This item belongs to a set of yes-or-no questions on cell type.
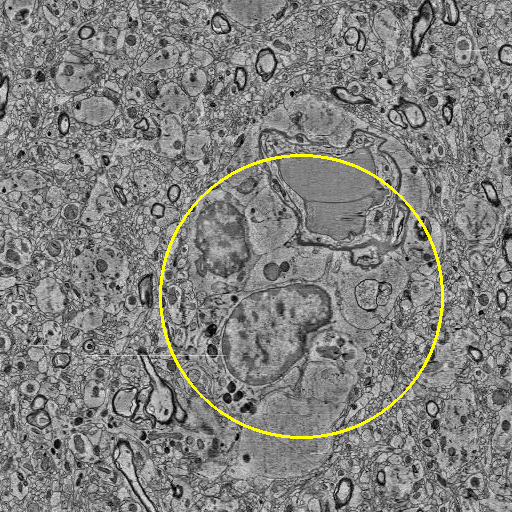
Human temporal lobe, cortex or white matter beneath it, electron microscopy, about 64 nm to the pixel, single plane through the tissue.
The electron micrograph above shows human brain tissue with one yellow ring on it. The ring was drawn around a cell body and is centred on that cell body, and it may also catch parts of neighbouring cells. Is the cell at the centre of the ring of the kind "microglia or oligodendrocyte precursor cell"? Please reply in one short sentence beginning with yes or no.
Yes, that cell is of the named kind.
